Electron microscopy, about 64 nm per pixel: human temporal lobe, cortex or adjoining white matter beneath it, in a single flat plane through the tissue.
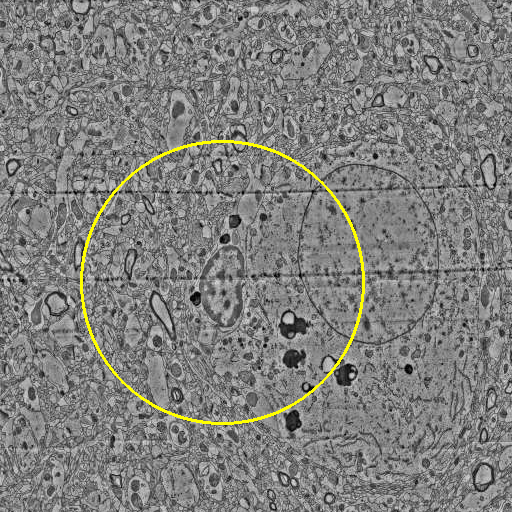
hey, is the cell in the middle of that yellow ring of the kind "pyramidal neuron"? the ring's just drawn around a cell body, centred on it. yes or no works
no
